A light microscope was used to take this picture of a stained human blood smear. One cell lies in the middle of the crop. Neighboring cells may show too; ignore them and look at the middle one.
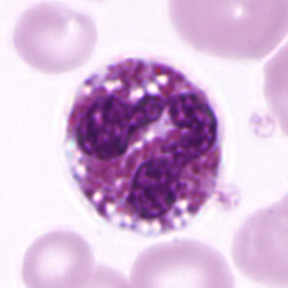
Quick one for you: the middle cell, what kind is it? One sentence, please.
The middle position in this crop is taken by an eosinophil.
